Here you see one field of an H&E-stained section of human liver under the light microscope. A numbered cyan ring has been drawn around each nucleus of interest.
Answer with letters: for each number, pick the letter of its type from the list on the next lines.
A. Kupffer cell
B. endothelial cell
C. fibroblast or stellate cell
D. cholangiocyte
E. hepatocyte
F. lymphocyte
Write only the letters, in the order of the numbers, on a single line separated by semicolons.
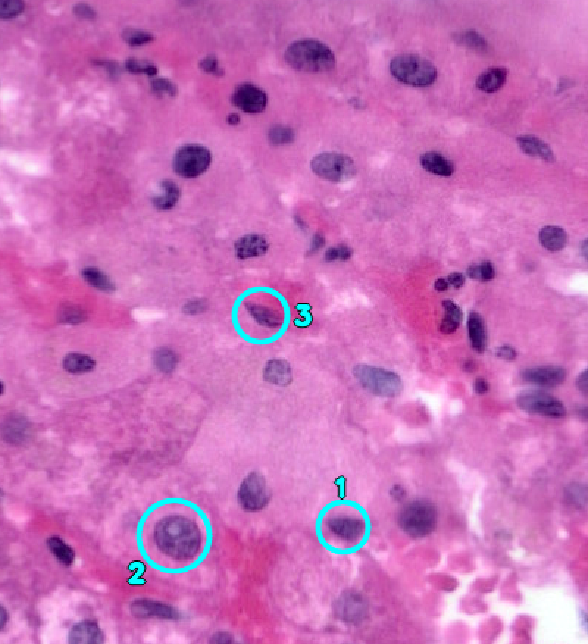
C; E; B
